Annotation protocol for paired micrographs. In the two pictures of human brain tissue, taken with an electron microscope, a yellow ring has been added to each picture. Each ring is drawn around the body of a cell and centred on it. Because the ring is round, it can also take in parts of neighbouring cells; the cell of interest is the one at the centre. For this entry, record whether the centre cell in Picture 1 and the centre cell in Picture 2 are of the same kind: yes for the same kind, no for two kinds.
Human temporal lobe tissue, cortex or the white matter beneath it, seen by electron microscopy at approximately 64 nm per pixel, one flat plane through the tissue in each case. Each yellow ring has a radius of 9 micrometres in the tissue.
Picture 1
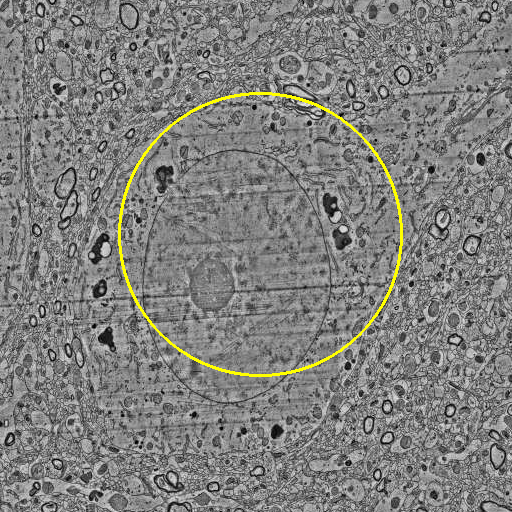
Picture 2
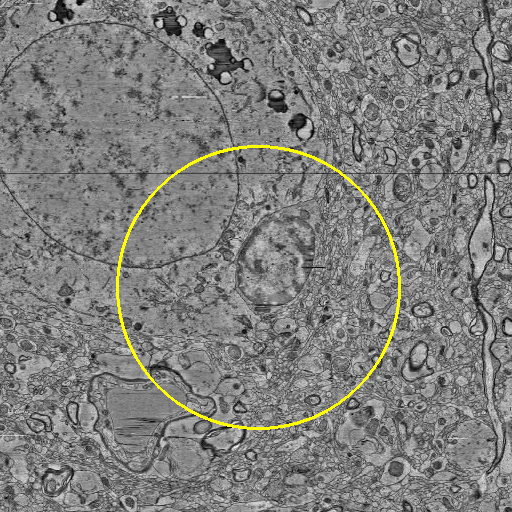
no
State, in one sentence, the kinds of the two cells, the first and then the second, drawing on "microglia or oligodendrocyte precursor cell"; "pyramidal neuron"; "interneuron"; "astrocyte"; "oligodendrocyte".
The ring in the second picture is centred on an oligodendrocyte, the ring in the first on a pyramidal neuron.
